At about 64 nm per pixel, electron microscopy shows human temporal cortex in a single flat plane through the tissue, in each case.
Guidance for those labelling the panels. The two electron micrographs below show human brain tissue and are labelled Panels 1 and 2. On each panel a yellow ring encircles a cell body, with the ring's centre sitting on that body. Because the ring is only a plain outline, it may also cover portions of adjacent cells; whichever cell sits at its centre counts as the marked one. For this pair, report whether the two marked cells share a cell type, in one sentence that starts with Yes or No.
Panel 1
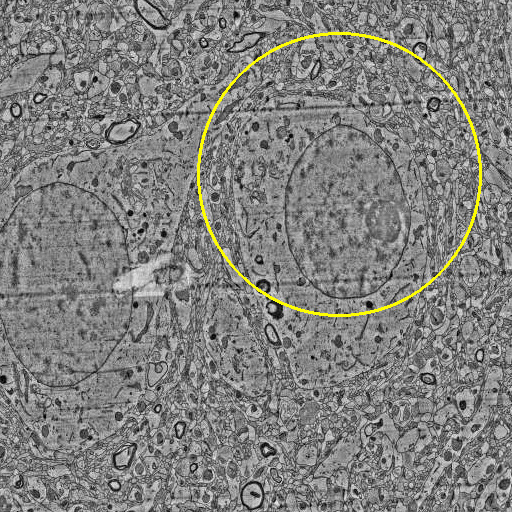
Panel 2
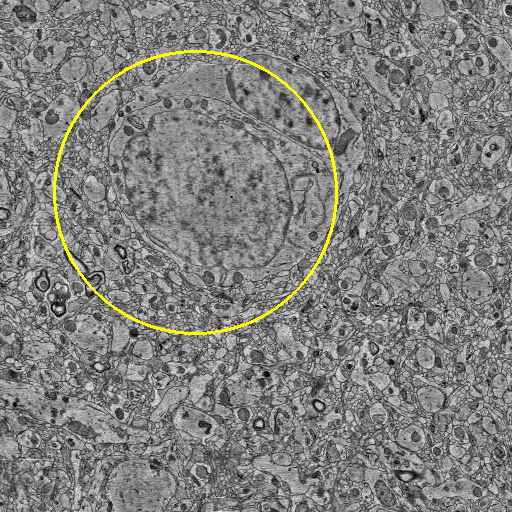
No, in Panel 1 and Panel 2 the marked cells at the ring centres are of two types.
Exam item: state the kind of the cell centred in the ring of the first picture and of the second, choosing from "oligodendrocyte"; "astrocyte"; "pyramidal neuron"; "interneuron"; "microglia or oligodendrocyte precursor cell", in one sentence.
The first picture shows a pyramidal neuron at the ring centre and the second shows an interneuron.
